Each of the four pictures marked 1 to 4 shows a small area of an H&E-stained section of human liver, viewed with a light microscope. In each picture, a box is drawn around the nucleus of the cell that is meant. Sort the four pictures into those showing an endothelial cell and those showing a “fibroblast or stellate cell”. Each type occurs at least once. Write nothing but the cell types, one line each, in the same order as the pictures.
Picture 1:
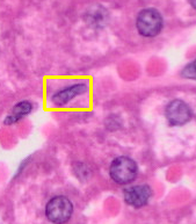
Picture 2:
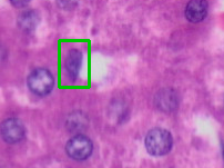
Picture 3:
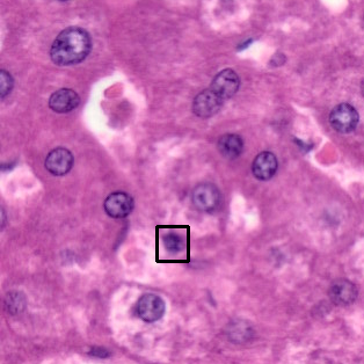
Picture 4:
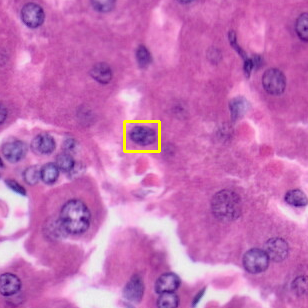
fibroblast or stellate cell
endothelial cell
fibroblast or stellate cell
fibroblast or stellate cell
